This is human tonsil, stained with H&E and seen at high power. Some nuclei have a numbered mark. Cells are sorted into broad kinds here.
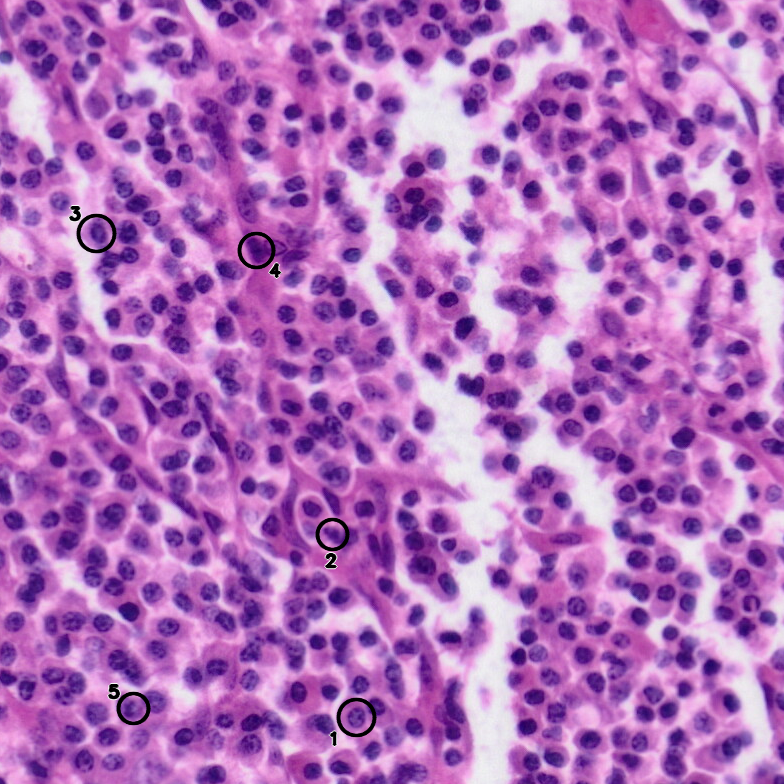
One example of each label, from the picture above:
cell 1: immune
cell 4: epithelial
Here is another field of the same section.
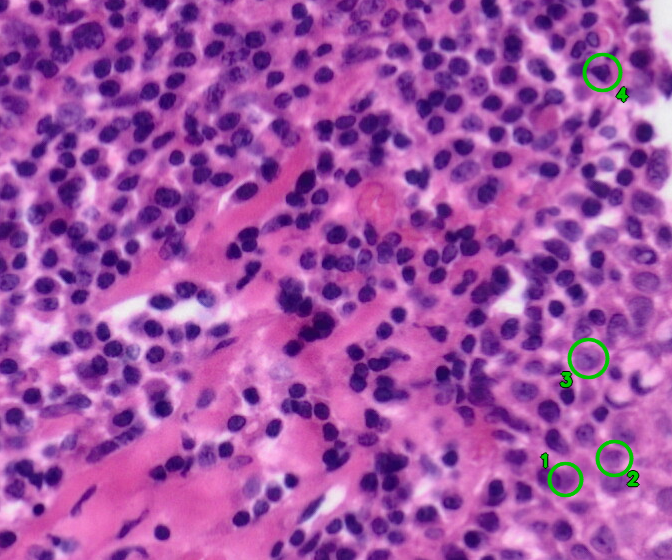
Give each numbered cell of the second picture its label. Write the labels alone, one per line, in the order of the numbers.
epithelial
epithelial
epithelial
immune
